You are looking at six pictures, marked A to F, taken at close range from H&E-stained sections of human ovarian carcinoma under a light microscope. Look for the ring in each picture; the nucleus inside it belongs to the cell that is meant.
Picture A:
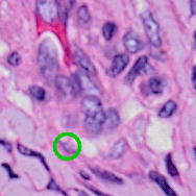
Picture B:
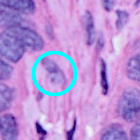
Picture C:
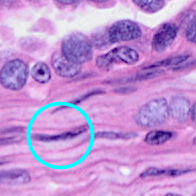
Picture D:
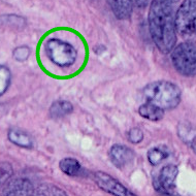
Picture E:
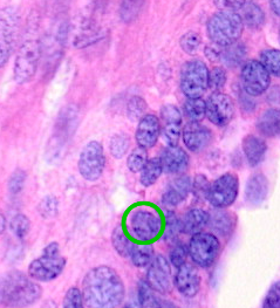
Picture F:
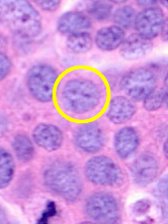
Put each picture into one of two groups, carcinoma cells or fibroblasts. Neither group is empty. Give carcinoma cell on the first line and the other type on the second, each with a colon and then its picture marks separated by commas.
carcinoma cell: E, F
fibroblast: A, B, C, D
